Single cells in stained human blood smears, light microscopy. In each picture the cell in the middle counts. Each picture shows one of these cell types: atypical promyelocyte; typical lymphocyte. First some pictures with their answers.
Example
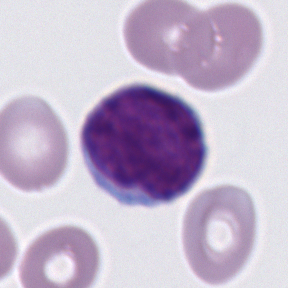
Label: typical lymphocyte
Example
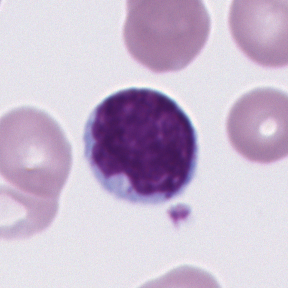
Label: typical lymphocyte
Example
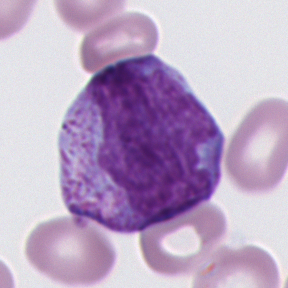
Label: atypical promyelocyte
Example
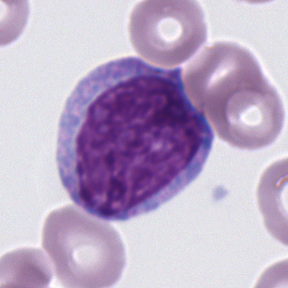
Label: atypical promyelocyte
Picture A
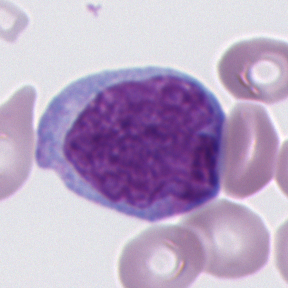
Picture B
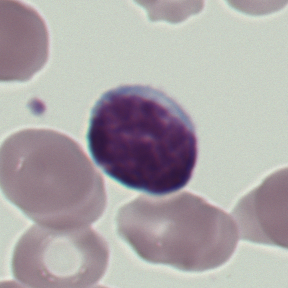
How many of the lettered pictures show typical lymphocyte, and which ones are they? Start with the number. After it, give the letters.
1, namely B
